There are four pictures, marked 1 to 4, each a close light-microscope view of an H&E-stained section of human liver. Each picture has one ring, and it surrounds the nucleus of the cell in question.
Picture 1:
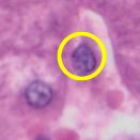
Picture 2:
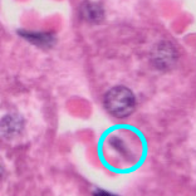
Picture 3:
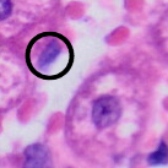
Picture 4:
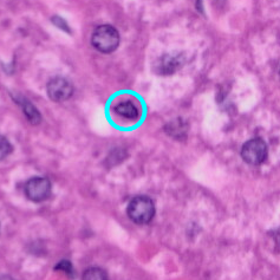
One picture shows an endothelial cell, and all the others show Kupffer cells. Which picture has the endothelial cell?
3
